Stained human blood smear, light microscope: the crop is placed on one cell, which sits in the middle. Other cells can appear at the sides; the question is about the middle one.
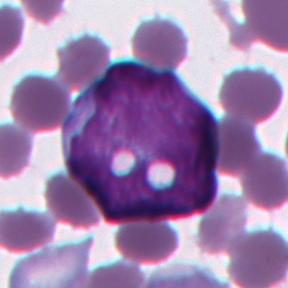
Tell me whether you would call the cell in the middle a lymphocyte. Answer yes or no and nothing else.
no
